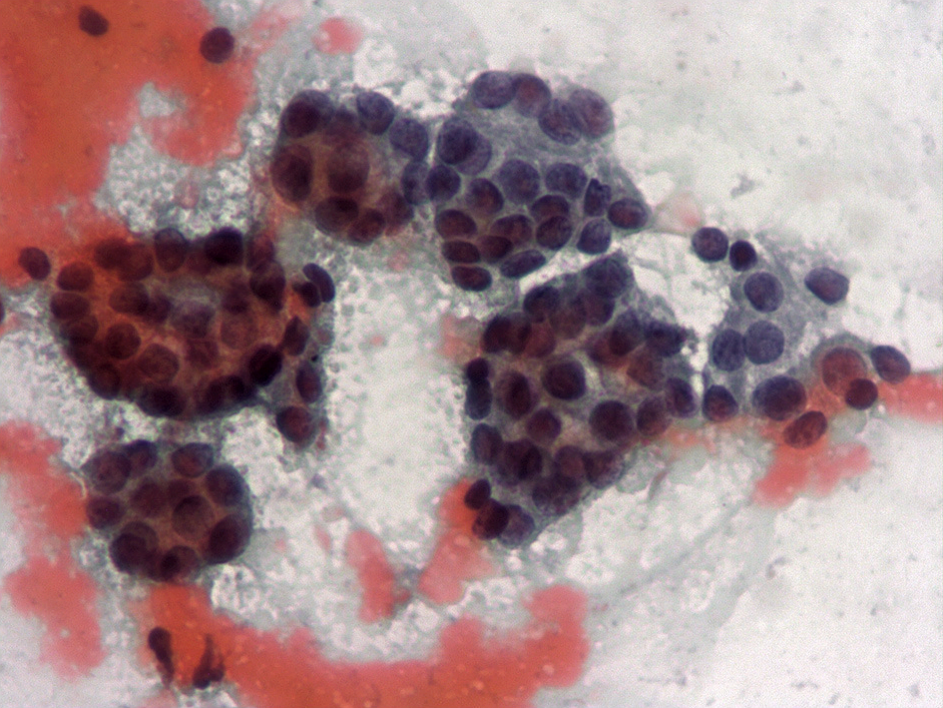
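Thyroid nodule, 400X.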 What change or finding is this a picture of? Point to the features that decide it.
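Several crowded clusters of epithelial cells with round, fairly uniform nuclei. Some groups form small ring-like, follicle-like arrangements. Cells overlap within the clusters and have scant pale cytoplasm. The answer: Follicular proliferation.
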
